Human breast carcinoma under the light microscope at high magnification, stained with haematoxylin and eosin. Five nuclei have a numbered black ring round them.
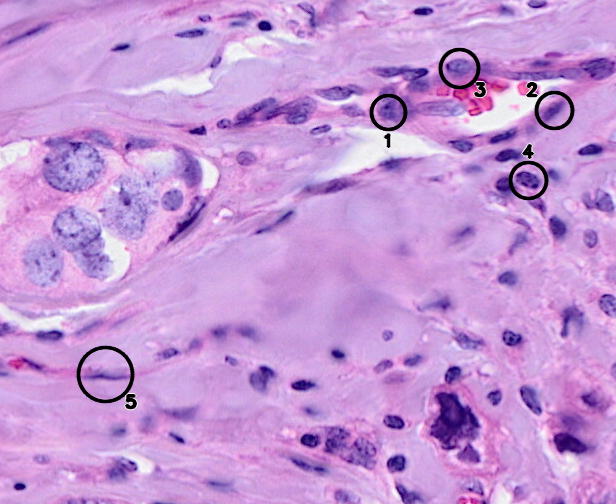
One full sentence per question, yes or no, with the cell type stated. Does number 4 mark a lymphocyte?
Yes, that one, number 4, is a lymphocyte.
